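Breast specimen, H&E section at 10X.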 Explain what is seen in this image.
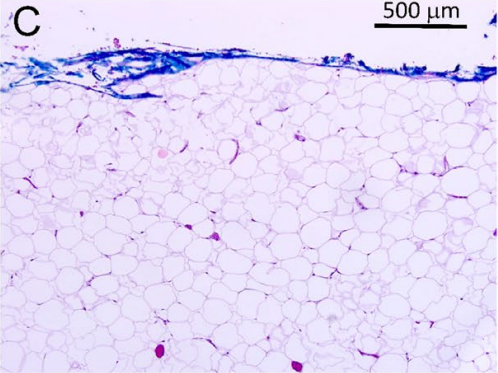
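Nuclei are few and small, pressed flat at the cell edges. A few small vessels with red blood cells show as bright pink-red dots between the cells. Along the top edge lies a band of dark blue ink with some loose fibres, marking the cut surface. No glands and no dense fibrous stroma are seen, so the margin consists of fat.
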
